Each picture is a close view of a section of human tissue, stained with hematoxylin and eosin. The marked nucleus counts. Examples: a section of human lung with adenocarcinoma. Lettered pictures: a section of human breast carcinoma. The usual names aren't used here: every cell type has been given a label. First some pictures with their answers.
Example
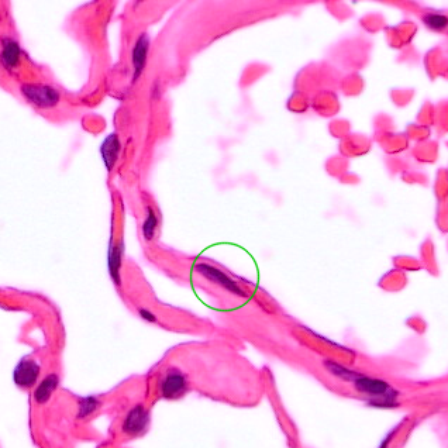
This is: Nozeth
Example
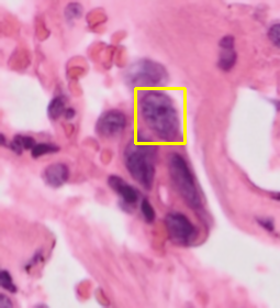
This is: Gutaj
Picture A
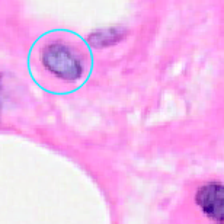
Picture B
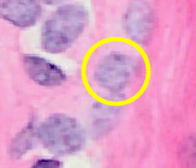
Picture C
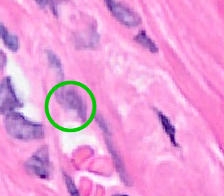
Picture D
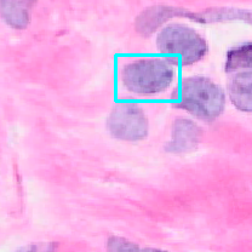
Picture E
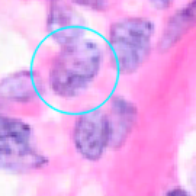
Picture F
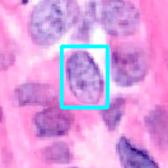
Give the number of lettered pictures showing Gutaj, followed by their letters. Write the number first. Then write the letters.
4, namely B, D, E, F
